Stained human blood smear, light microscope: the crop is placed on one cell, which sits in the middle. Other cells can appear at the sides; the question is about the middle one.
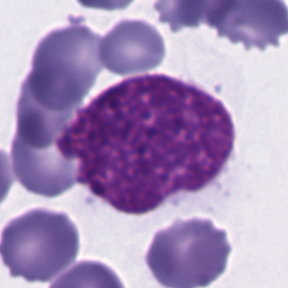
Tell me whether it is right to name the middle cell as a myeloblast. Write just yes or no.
no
